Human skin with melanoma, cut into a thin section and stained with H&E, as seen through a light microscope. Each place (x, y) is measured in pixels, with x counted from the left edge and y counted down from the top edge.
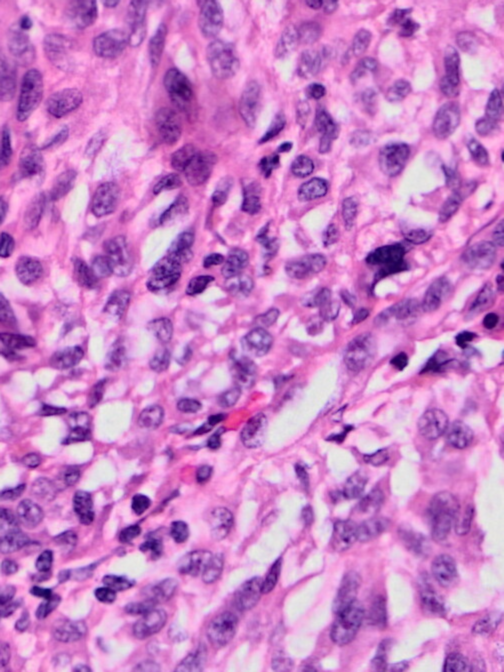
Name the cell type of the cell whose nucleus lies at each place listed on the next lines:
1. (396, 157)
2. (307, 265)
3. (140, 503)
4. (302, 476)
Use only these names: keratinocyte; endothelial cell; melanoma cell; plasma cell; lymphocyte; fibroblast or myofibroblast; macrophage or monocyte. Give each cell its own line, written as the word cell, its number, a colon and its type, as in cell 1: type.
cell 1: melanoma cell
cell 2: melanoma cell
cell 3: lymphocyte
cell 4: melanoma cell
